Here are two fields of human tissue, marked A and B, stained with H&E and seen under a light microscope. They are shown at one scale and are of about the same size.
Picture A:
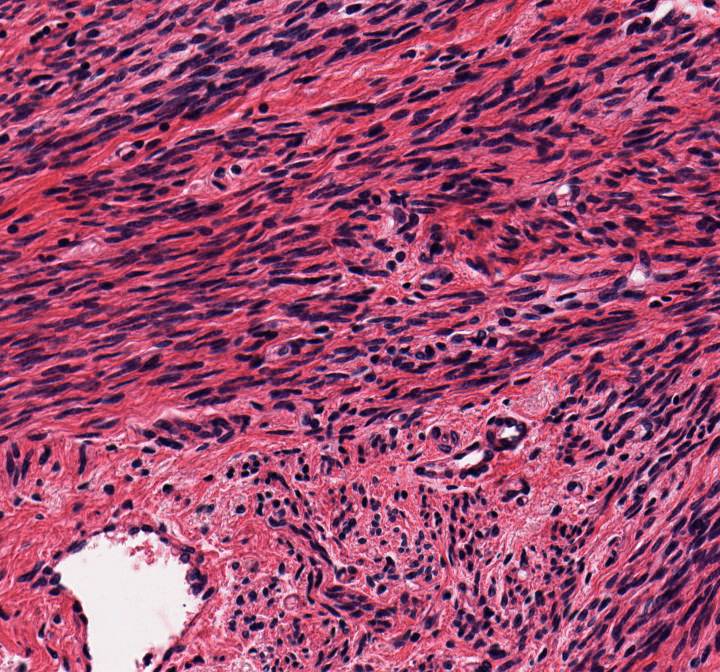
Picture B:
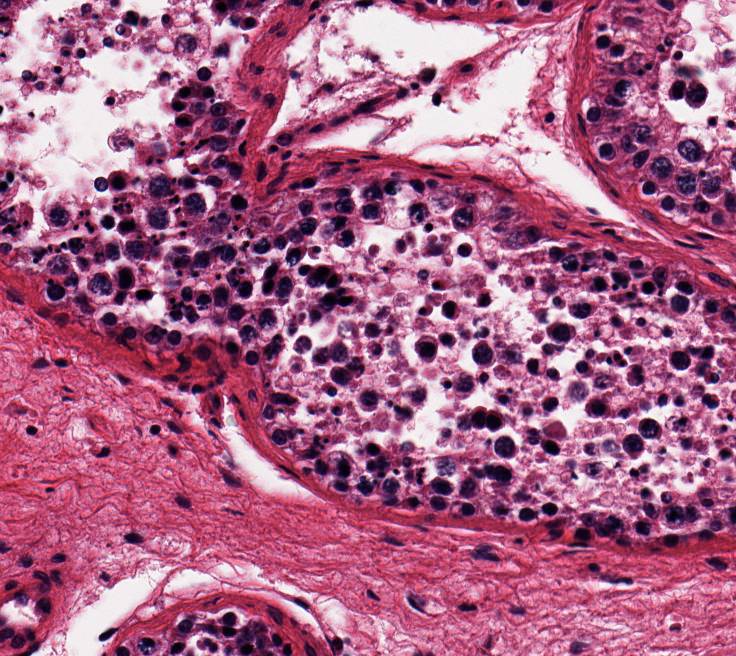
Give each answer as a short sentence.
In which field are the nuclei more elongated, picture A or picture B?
It is picture A whose nuclei are the more elongated.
